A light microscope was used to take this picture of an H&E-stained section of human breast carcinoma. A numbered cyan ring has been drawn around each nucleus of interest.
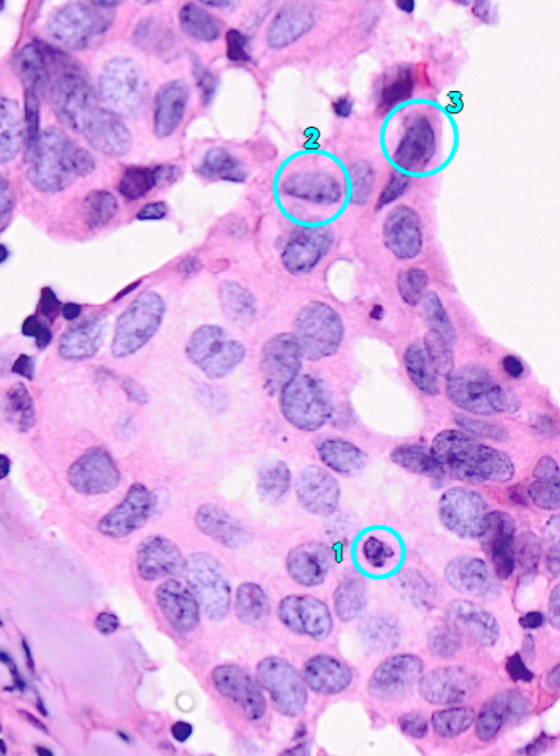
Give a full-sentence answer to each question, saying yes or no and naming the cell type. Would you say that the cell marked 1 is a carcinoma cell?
No, cell 1 should be read as a lymphocyte instead of a carcinoma cell.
